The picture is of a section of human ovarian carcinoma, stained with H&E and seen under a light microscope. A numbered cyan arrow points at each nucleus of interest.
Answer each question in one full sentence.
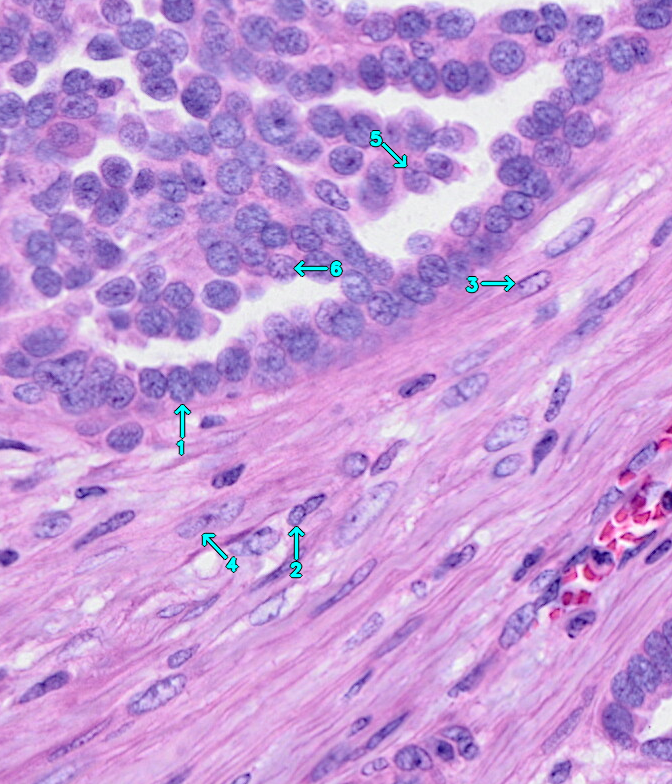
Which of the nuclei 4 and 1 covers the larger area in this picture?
Nucleus 1 is the larger one, covering about 1.5 times the area of nucleus 4.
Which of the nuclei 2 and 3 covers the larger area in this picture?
Of the two, number 3 is bigger and takes up about 2 times the area of number 2.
